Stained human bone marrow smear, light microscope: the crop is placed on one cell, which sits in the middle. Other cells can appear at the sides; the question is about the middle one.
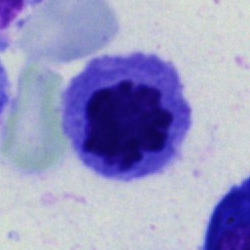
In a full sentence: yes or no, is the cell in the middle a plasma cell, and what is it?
No, calling it a plasma cell is wrong; the middle cell is an erythroblast.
